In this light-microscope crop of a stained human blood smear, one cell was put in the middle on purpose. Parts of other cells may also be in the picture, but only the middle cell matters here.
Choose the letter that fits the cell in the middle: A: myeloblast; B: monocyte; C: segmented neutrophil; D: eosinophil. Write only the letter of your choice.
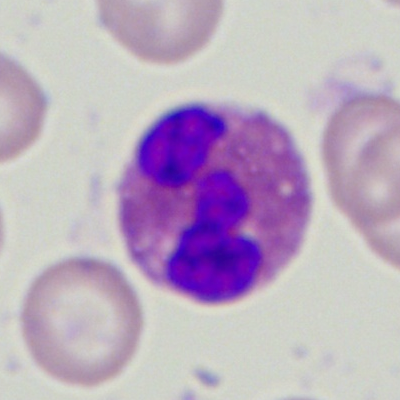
D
